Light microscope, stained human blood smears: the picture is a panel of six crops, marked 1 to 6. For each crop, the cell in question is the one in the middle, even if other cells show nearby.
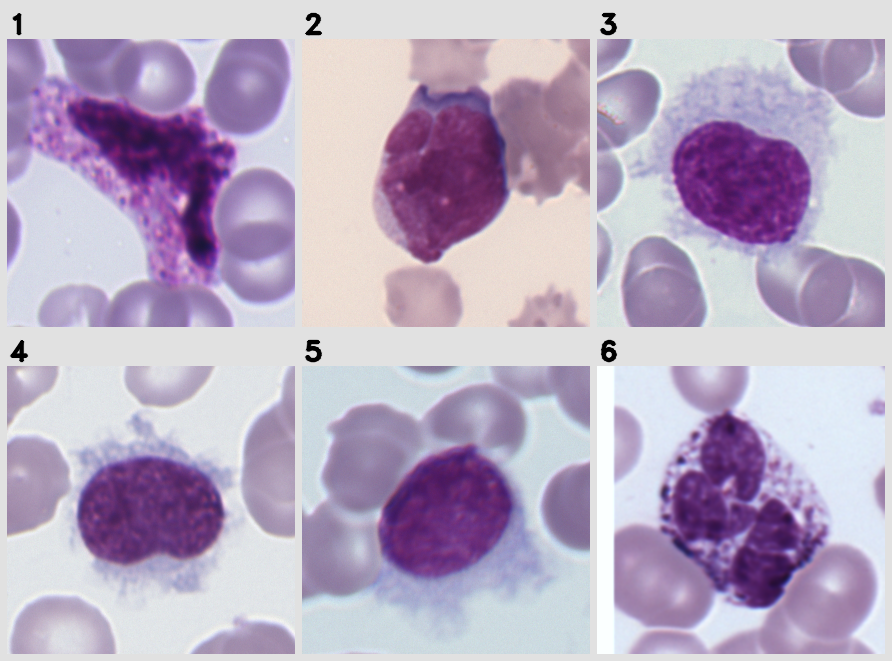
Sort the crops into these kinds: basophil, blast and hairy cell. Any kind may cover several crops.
1: basophil
2: blast
3: hairy cell
4: hairy cell
5: hairy cell
6: basophil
